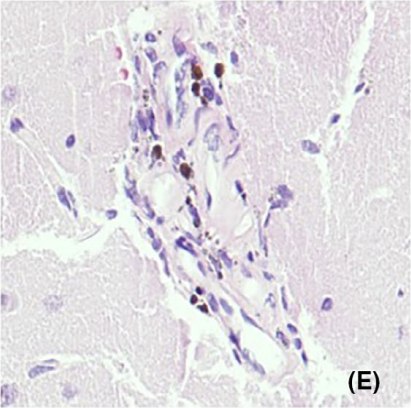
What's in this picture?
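Brain tissue in which a small vessel runs through pale pink, finely fibrillar neuropil. Along the vessel wall lie cells with blue-purple nuclei together with several rounded cells packed with golden-brown granular pigment, hemosiderin-laden macrophages, alongside small round inflammatory cells. The surrounding neuropil looks pale and loose, with clear spaces around the vessel.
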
